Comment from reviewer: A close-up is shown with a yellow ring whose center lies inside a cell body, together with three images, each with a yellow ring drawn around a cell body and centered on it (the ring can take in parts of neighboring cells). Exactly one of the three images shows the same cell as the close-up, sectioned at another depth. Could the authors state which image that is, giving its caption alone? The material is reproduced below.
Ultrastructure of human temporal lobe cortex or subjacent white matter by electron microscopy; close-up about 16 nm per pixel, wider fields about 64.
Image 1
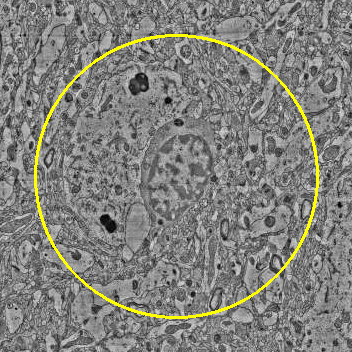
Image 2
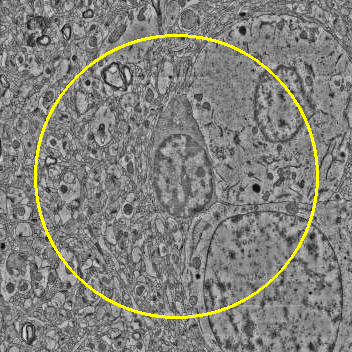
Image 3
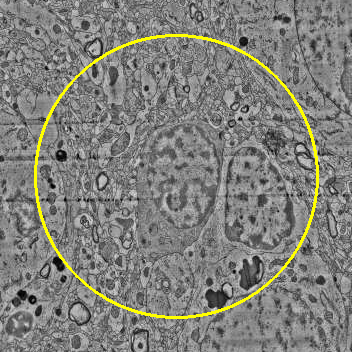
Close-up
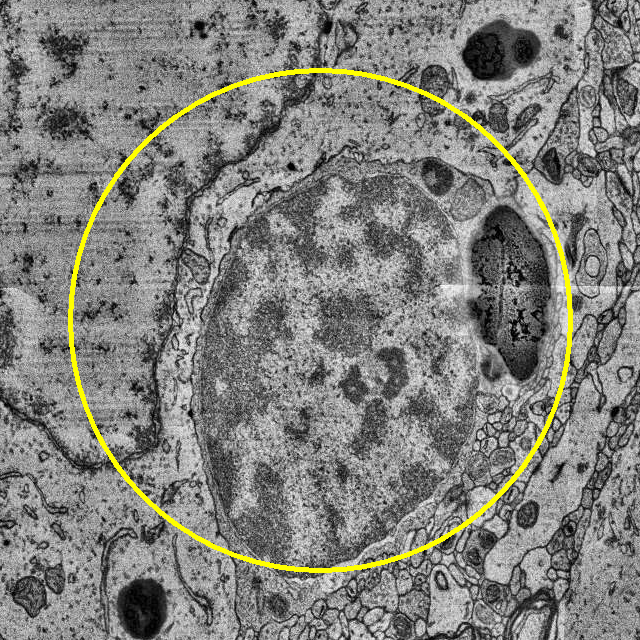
Image 1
